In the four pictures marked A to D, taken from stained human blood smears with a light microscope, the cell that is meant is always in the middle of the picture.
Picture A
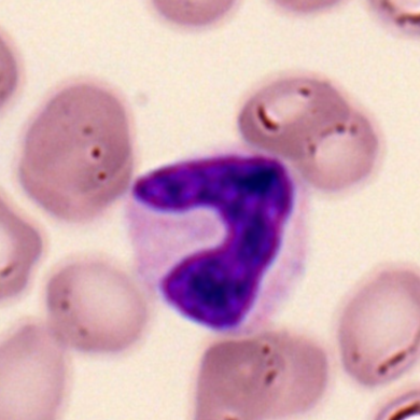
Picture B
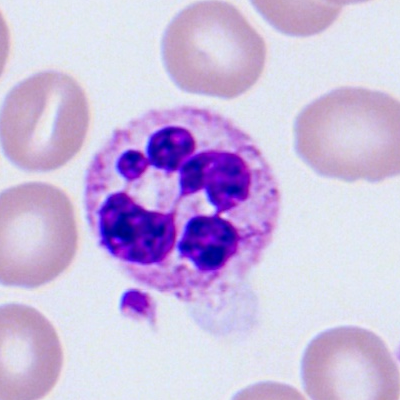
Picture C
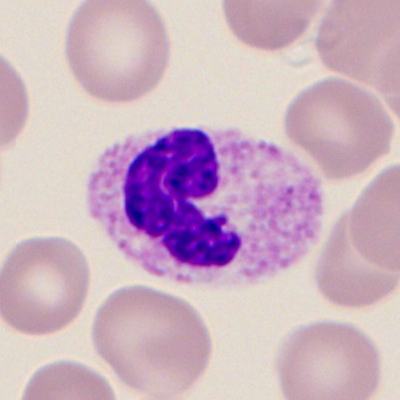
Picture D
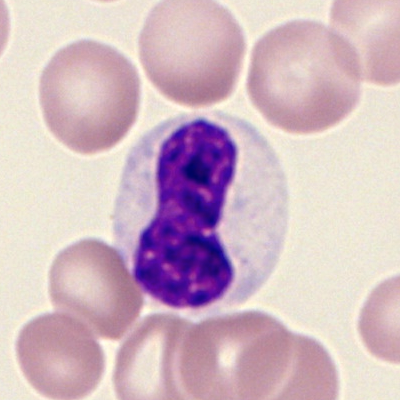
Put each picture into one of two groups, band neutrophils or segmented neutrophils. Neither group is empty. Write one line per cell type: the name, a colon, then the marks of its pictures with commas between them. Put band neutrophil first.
band neutrophil: A, C, D
segmented neutrophil: B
